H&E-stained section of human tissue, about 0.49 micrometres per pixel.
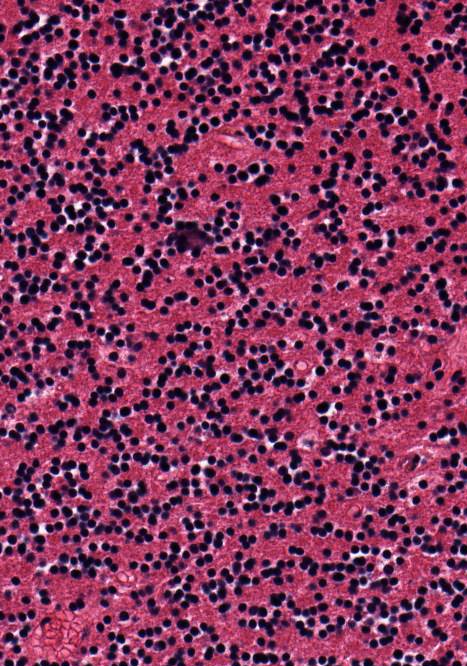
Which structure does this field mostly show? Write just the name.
granular layer of the cerebellum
